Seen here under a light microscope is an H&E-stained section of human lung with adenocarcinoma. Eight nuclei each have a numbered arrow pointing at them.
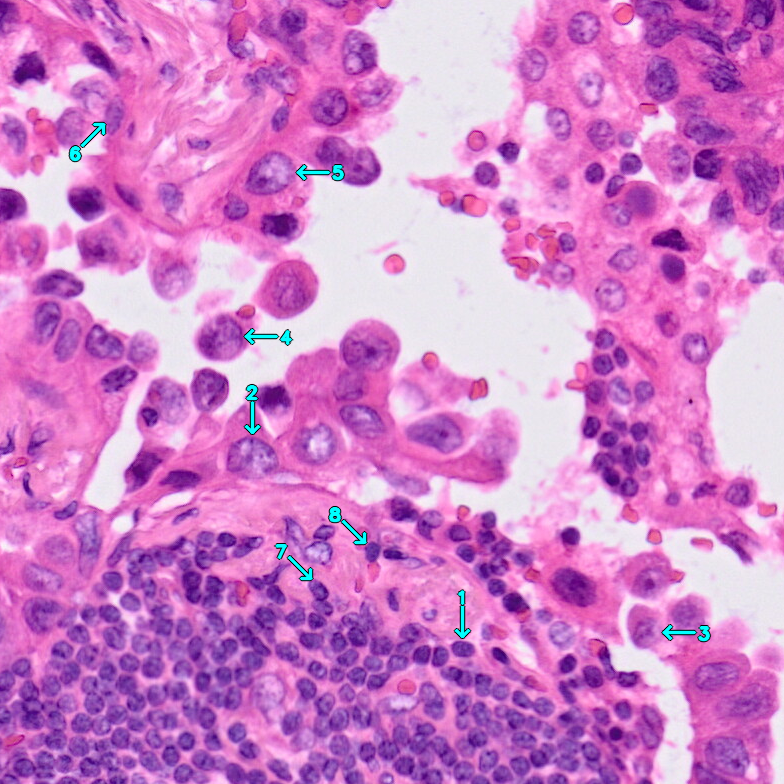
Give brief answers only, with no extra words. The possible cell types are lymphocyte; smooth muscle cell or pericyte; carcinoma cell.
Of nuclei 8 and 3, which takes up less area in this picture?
8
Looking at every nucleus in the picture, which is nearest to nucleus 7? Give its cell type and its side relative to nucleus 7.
a lymphocyte; below nucleus 7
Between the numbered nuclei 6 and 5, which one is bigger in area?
5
